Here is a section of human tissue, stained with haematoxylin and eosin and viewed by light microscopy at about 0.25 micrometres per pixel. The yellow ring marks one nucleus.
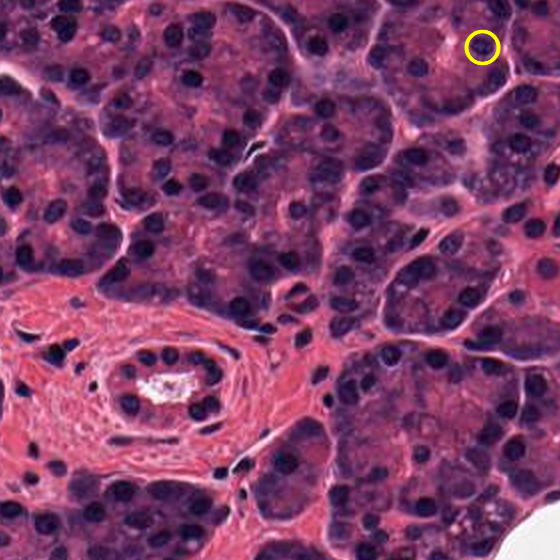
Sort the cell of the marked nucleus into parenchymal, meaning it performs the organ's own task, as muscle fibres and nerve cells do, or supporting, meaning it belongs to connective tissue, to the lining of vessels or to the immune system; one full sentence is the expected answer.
The marked nucleus belongs to the parenchyma, being the nucleus of a pancreatic acinar cell.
